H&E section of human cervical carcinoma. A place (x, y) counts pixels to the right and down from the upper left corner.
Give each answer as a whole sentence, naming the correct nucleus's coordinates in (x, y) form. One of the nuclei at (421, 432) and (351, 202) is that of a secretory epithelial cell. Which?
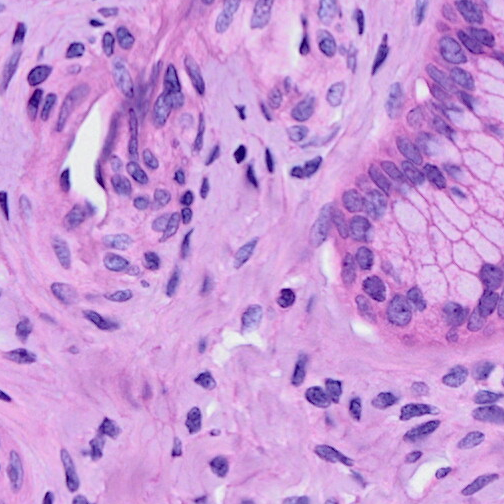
Of the two, the nucleus at (351, 202) is the one contained in a secretory epithelial cell.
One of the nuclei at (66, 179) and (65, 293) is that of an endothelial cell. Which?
The nucleus at (66, 179) is identified as belonging to an endothelial cell.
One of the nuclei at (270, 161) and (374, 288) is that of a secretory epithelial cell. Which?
The nucleus at (374, 288) is contained in a secretory epithelial cell.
